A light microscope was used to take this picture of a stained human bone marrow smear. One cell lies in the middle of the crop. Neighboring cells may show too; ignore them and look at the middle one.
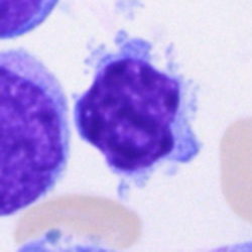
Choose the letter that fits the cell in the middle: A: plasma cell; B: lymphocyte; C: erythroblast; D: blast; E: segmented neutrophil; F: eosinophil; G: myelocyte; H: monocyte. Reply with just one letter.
B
